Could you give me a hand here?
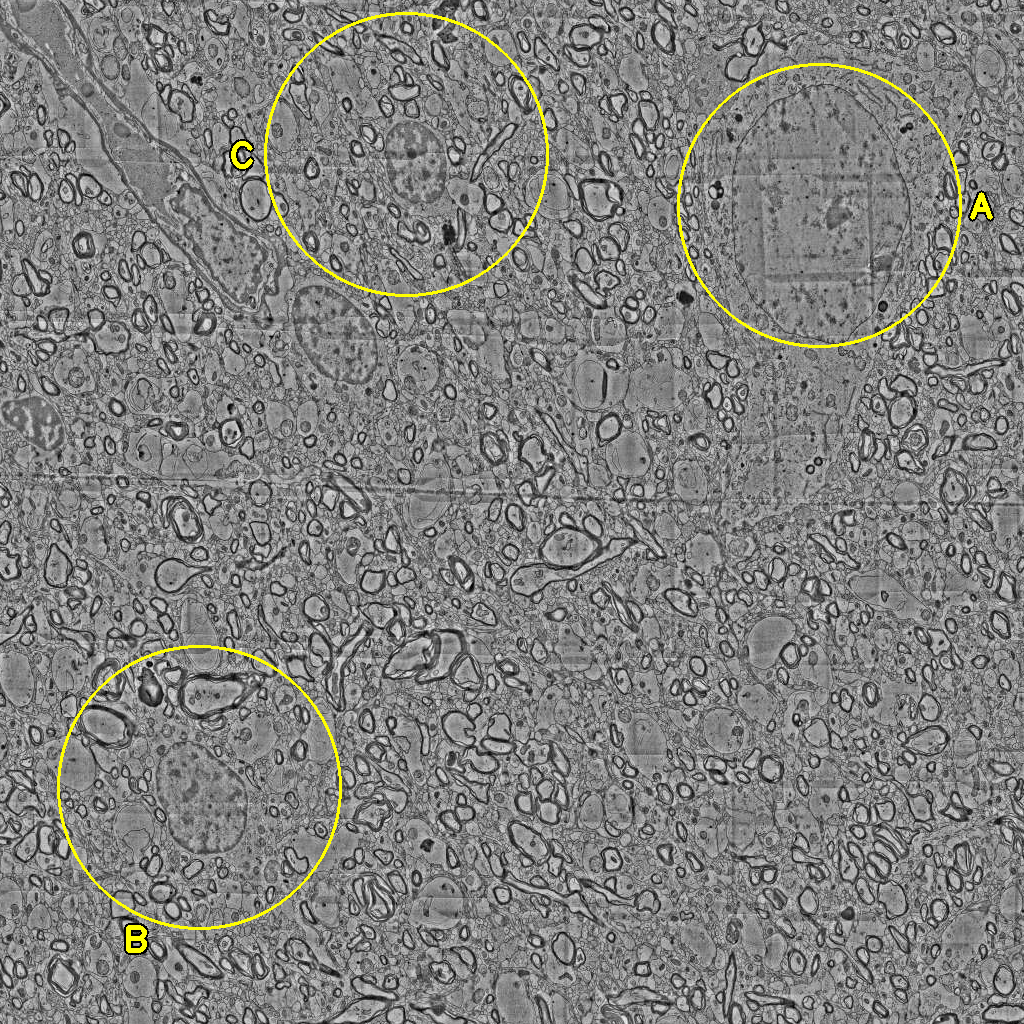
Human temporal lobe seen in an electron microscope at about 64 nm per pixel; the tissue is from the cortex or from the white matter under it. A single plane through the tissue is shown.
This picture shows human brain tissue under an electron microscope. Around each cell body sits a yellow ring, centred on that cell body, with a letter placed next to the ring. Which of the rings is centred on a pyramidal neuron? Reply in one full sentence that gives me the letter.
The cell asked for sits at the centre of ring A in the picture.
